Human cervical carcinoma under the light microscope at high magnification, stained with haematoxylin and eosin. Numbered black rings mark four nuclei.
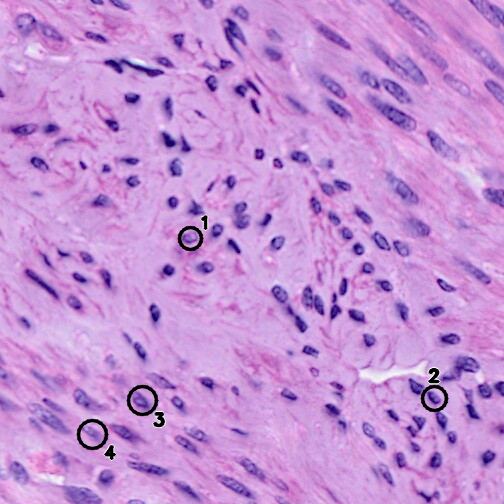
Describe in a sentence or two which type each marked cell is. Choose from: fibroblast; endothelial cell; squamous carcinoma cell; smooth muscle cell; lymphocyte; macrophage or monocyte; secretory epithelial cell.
Cell 1 is a smooth muscle cell, cell 2 is a fibroblast, cell 3 is a smooth muscle cell and cell 4 is a smooth muscle cell.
